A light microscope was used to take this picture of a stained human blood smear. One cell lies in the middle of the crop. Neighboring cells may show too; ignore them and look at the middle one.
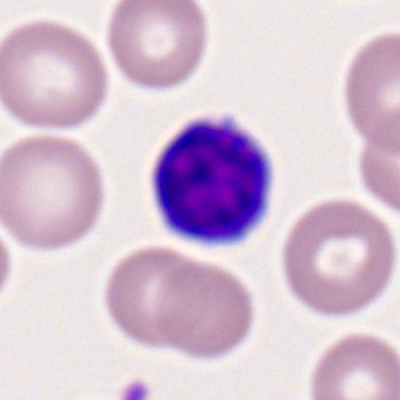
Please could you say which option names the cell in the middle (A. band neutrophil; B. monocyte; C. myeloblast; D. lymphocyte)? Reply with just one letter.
D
